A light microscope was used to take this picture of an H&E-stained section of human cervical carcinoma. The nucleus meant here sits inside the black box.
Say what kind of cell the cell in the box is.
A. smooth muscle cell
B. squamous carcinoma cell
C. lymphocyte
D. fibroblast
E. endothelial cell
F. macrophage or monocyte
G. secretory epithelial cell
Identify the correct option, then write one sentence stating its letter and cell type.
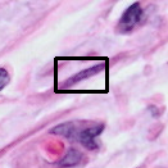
Given that the cell in the box is a fibroblast, option D is the correct one.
